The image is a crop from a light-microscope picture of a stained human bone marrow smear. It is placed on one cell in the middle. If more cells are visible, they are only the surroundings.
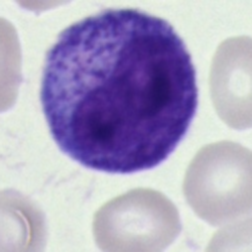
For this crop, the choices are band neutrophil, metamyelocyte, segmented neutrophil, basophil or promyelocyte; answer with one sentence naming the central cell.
The central cell shown in this smear crop is a promyelocyte.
